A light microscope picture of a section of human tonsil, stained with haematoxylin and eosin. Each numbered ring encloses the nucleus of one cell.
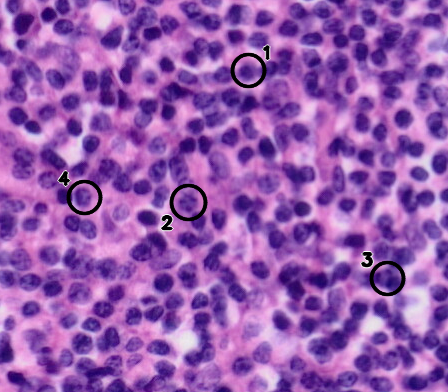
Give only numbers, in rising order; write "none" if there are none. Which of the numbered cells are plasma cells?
2, 4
